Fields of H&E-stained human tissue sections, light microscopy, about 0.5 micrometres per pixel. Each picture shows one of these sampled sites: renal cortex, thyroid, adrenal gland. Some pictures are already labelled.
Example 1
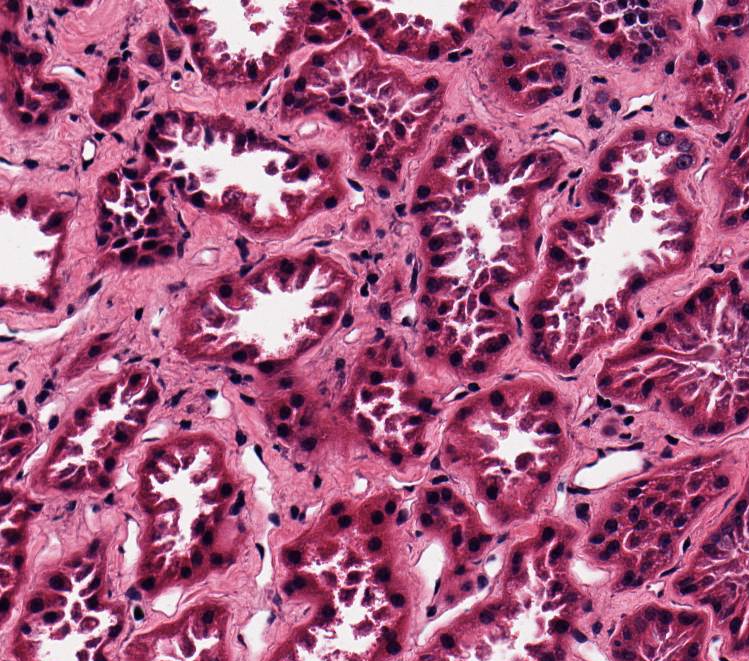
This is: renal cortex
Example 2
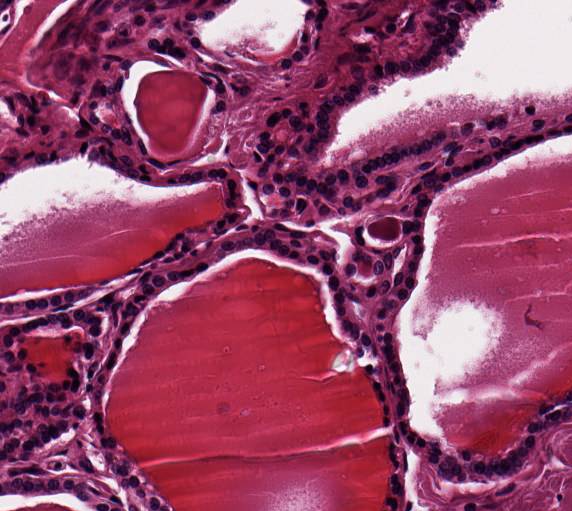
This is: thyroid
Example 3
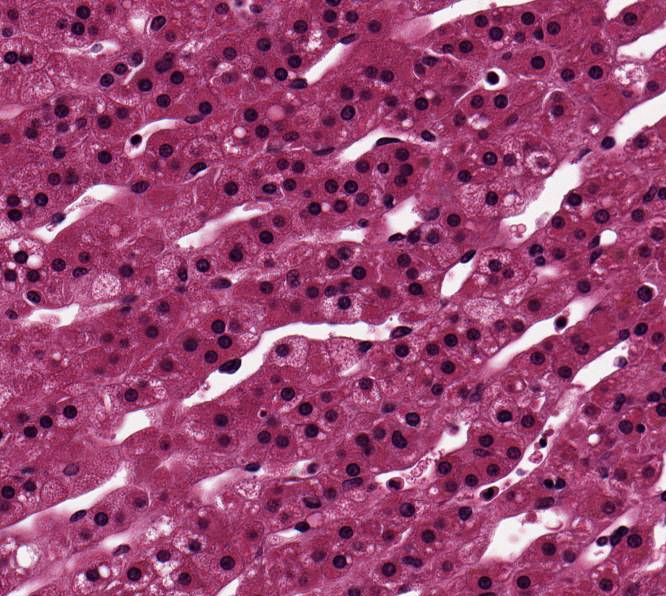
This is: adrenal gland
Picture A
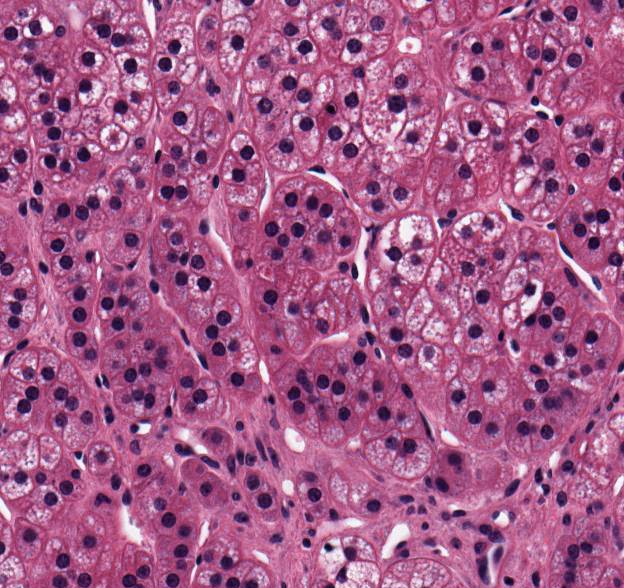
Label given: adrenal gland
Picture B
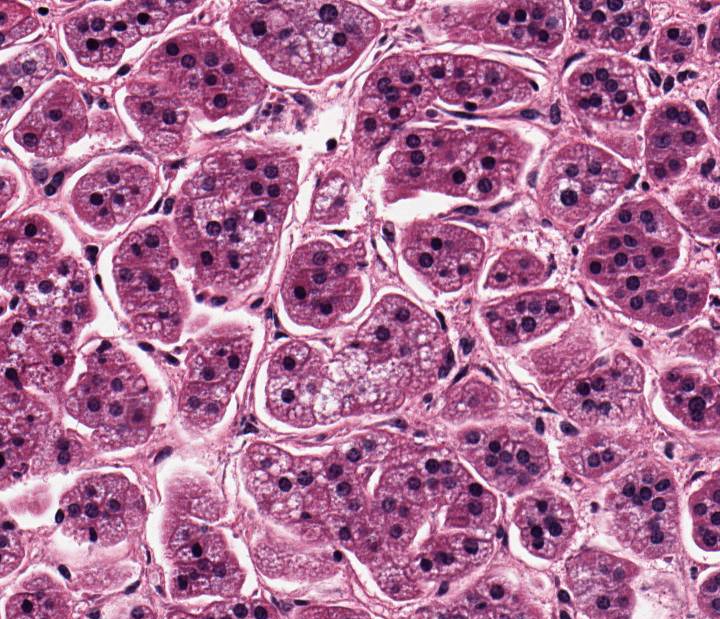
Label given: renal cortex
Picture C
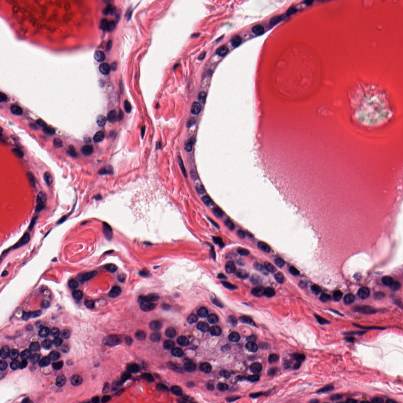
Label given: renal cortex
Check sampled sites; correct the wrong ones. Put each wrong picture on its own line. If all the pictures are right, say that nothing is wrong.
B: change renal cortex to adrenal gland
C: change renal cortex to thyroid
